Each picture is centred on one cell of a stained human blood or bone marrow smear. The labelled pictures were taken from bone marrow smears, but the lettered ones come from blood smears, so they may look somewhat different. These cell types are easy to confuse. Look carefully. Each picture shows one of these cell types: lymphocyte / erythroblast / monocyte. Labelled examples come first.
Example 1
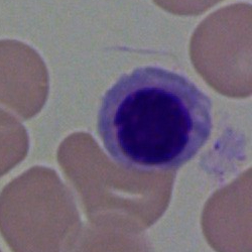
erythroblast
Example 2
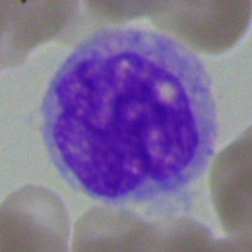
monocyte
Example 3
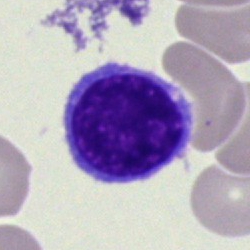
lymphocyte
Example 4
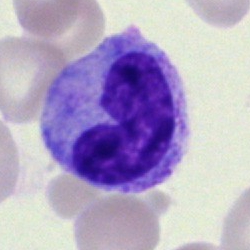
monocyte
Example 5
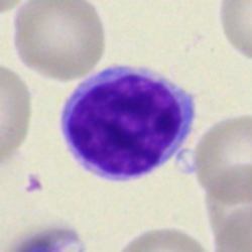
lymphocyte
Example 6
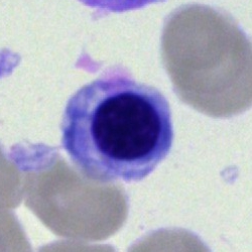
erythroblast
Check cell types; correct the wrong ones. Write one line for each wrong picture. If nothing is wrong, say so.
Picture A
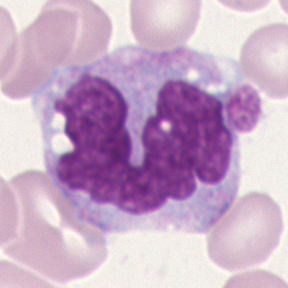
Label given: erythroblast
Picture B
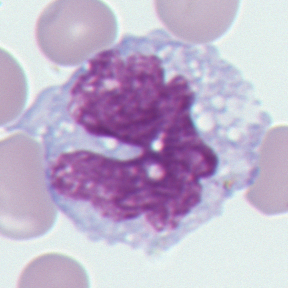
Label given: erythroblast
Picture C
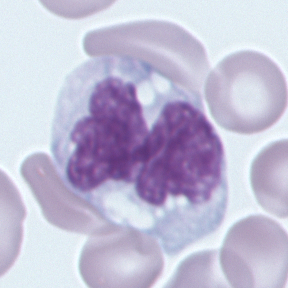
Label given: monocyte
A: change erythroblast to monocyte
B: change erythroblast to monocyte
